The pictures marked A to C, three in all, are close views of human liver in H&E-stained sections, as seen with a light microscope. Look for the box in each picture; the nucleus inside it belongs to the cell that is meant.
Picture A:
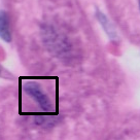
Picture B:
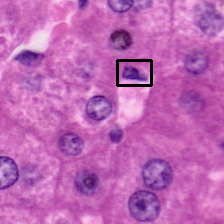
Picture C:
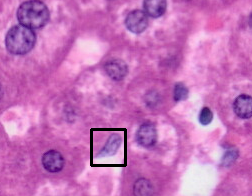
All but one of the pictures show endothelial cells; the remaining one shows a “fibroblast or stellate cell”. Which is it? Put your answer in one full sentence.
The picture with the “fibroblast or stellate cell” is A.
